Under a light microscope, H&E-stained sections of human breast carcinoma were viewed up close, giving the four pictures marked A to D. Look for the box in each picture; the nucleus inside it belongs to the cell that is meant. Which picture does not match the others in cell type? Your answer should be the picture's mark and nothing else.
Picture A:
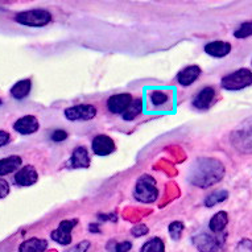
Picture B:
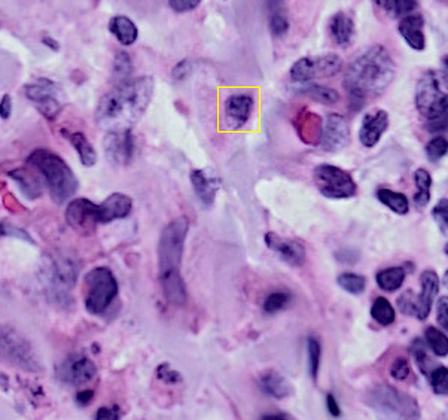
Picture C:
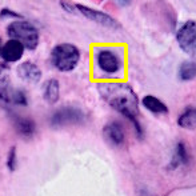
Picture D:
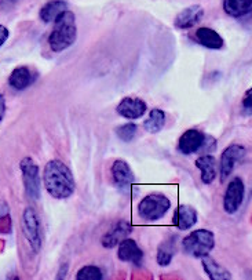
B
